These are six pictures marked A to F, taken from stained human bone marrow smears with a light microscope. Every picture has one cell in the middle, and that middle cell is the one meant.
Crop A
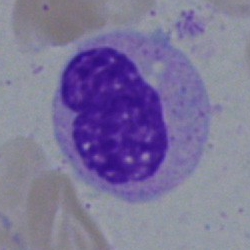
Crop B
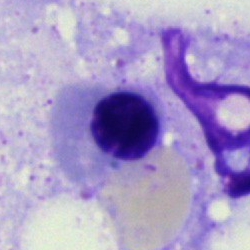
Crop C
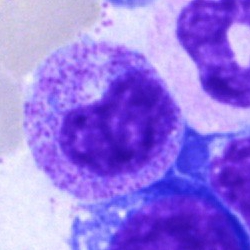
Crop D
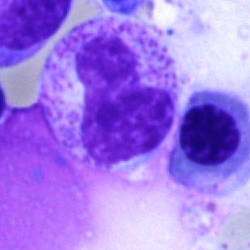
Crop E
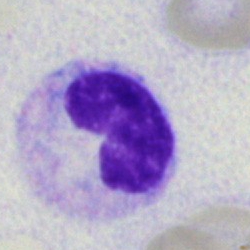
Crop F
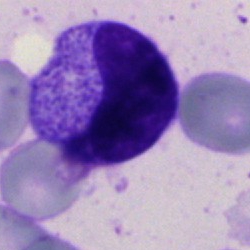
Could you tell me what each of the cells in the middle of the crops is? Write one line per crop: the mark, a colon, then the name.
A: metamyelocyte
B: normoblast
C: myelocyte
D: metamyelocyte
E: band neutrophil
F: metamyelocyte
